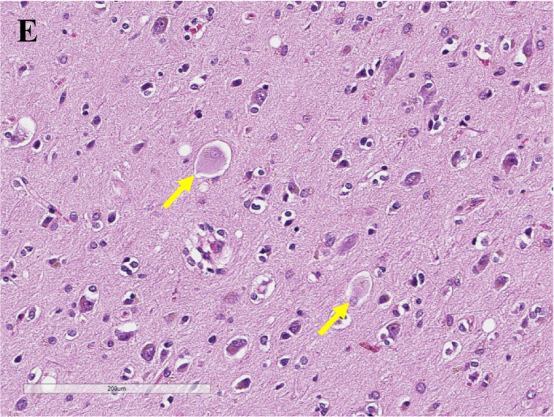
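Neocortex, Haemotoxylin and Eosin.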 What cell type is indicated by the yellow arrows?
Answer: Ballooned neurons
